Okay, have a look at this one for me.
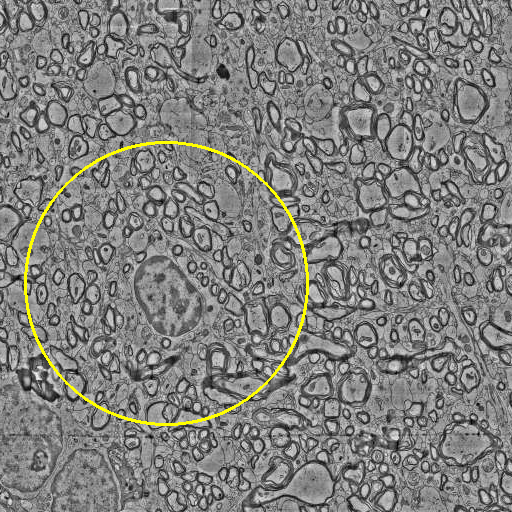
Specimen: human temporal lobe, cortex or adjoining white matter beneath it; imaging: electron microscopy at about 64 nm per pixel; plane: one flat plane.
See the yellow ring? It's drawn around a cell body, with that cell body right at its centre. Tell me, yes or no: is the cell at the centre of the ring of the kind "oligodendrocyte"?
No, it belongs to another kind.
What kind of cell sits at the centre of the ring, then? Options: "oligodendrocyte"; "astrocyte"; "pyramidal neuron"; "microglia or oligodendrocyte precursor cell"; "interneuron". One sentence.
Instead, the picture shows a microglial cell or oligodendrocyte precursor cell at the centre of the ring.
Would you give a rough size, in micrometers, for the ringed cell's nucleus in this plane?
The ringed cell's nucleus is about 5 micrometres long and 4 micrometres wide in this plane.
